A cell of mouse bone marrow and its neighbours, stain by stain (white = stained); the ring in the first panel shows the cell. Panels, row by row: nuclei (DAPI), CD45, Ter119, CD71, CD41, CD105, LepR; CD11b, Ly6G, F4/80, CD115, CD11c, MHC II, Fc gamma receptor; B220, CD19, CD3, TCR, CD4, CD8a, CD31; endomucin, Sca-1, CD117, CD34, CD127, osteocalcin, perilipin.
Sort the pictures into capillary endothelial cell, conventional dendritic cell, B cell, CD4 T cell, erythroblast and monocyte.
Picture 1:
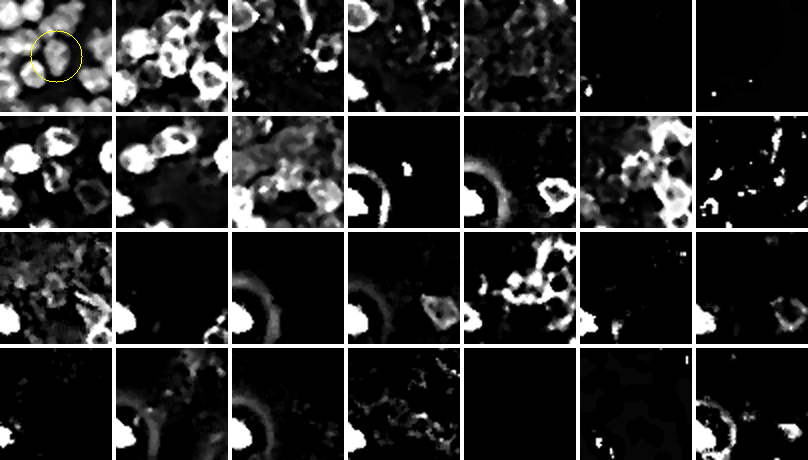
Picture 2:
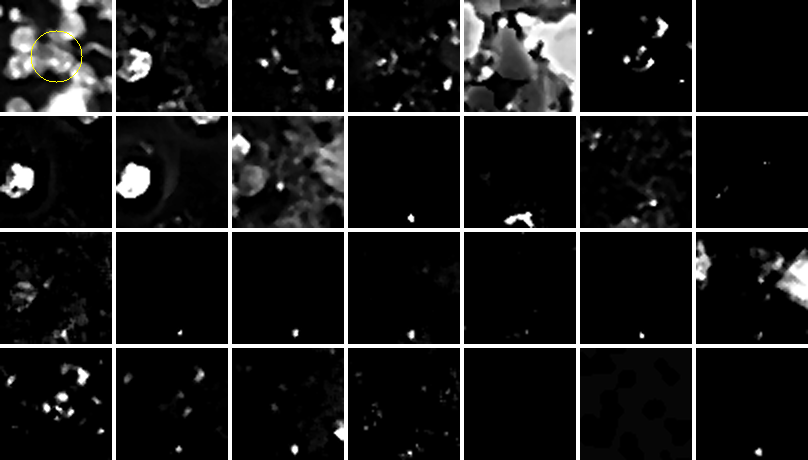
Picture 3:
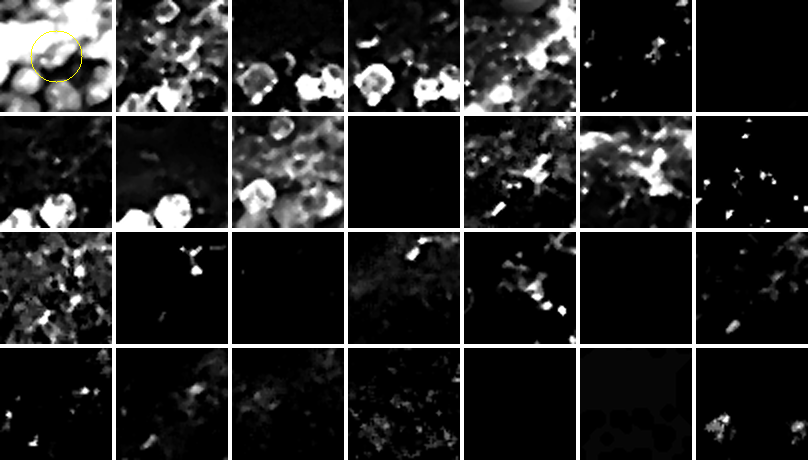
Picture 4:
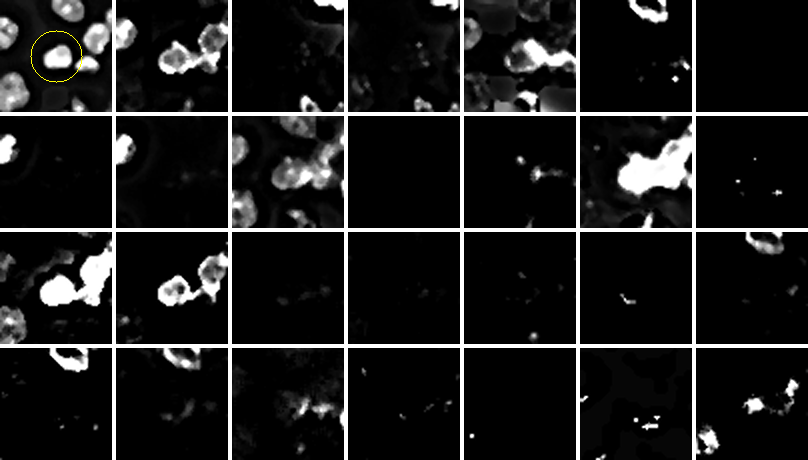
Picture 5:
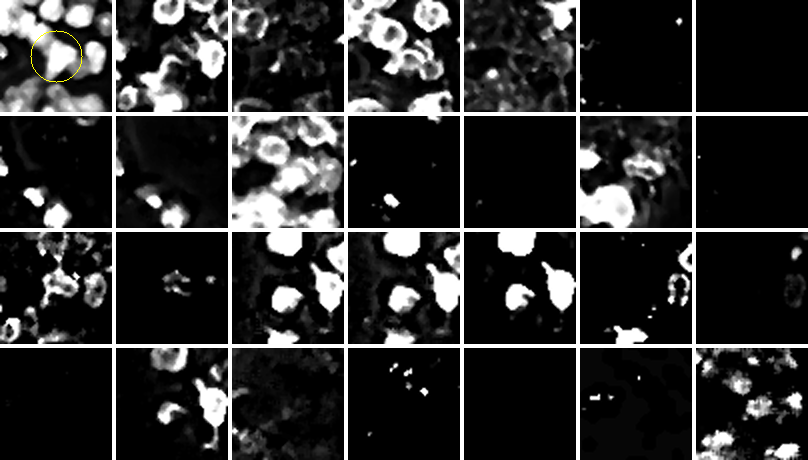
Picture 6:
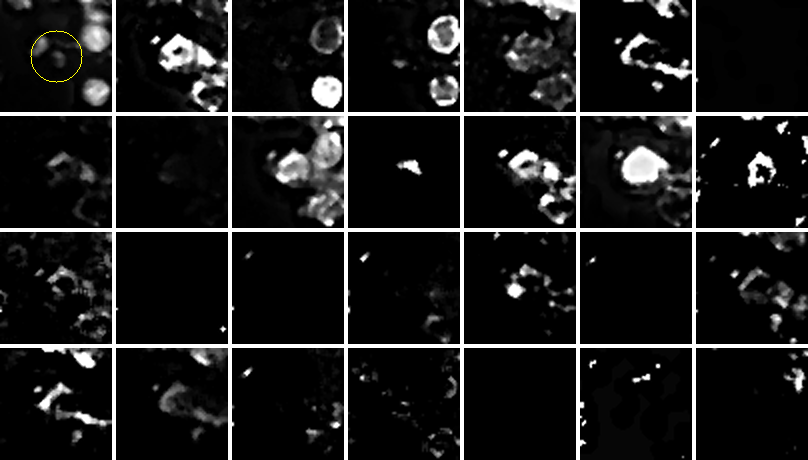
Monocytes: 1
Capillary endothelial cells: 2
Conventional dendritic cells: 3, 6
B cells: 4
CD4 T cells: 5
